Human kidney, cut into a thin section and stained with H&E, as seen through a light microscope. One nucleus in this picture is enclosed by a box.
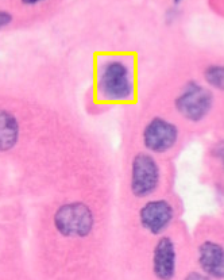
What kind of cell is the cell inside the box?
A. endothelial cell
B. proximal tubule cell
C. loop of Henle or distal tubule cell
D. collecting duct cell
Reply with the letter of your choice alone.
A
